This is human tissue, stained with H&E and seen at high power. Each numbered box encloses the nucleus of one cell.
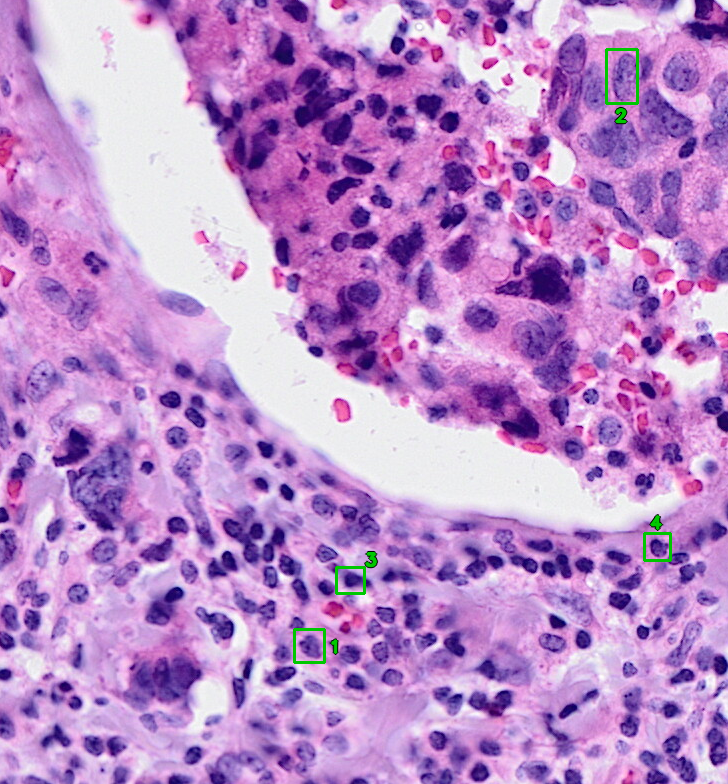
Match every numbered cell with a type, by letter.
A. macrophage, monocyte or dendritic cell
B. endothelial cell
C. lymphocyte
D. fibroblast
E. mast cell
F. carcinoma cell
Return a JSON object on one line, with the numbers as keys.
{"1": "C", "2": "F", "3": "C", "4": "C"}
